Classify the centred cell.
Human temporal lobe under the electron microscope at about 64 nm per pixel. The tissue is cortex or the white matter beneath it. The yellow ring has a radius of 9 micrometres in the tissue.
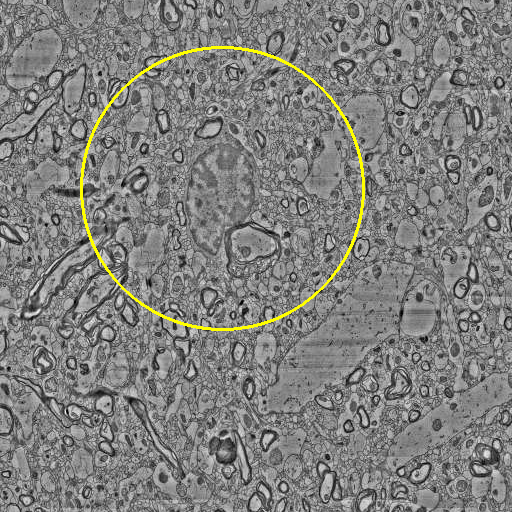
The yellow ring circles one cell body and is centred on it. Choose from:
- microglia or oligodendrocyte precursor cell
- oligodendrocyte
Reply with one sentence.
The ring is centred on an oligodendrocyte.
